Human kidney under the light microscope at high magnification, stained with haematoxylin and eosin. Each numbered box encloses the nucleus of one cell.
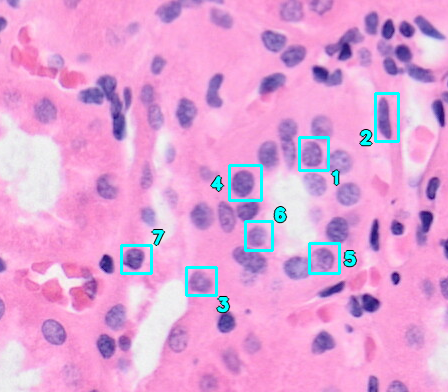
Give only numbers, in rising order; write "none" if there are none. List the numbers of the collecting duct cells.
1, 4, 5, 6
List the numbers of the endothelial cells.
2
